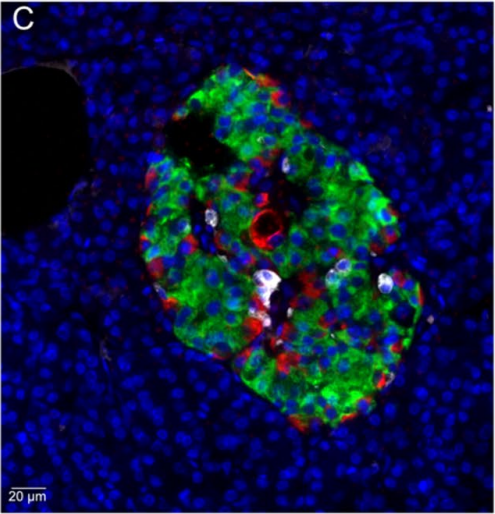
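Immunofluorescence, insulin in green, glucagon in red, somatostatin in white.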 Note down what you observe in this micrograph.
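An islet forms a rounded, sharply bounded cluster of endocrine cells amid densely nucleated surrounding tissue, with a large dark round empty space at the left edge of the field. Green-filled cells make up most of the islet.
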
